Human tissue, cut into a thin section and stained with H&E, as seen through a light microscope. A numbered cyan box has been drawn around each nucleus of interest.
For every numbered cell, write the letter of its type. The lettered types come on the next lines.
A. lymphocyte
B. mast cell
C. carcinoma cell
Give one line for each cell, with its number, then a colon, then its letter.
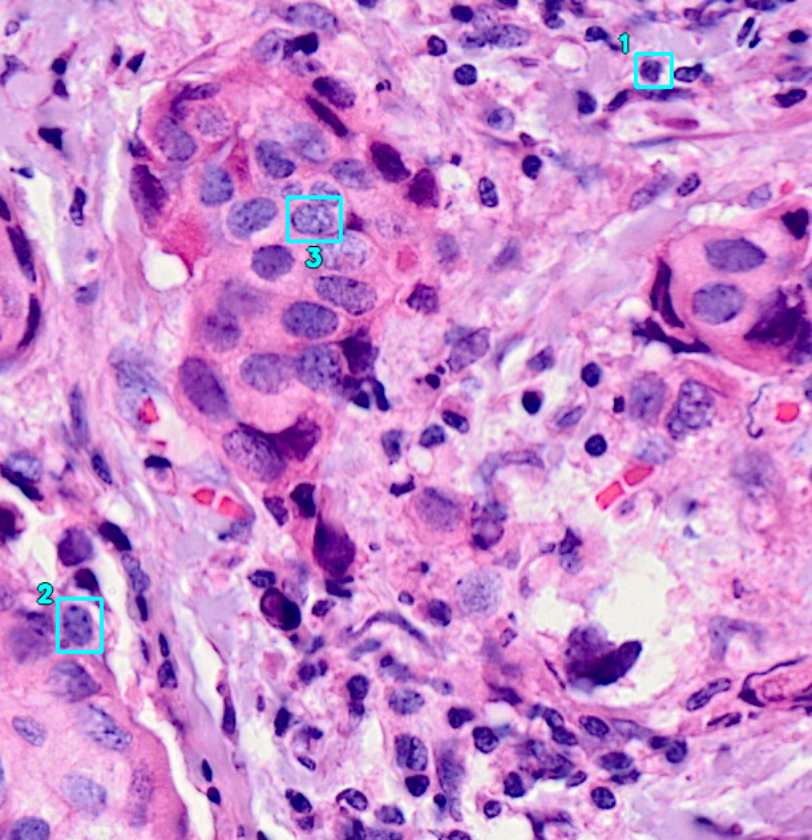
1: A
2: C
3: C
